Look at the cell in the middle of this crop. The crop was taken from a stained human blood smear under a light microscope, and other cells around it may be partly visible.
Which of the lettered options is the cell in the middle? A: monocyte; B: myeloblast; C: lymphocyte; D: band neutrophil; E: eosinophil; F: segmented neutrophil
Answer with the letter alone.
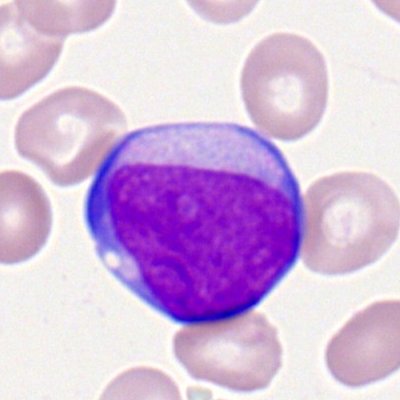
B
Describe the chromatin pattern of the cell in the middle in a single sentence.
Heads up, the chromatin is fine with no coarse clumps in it.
